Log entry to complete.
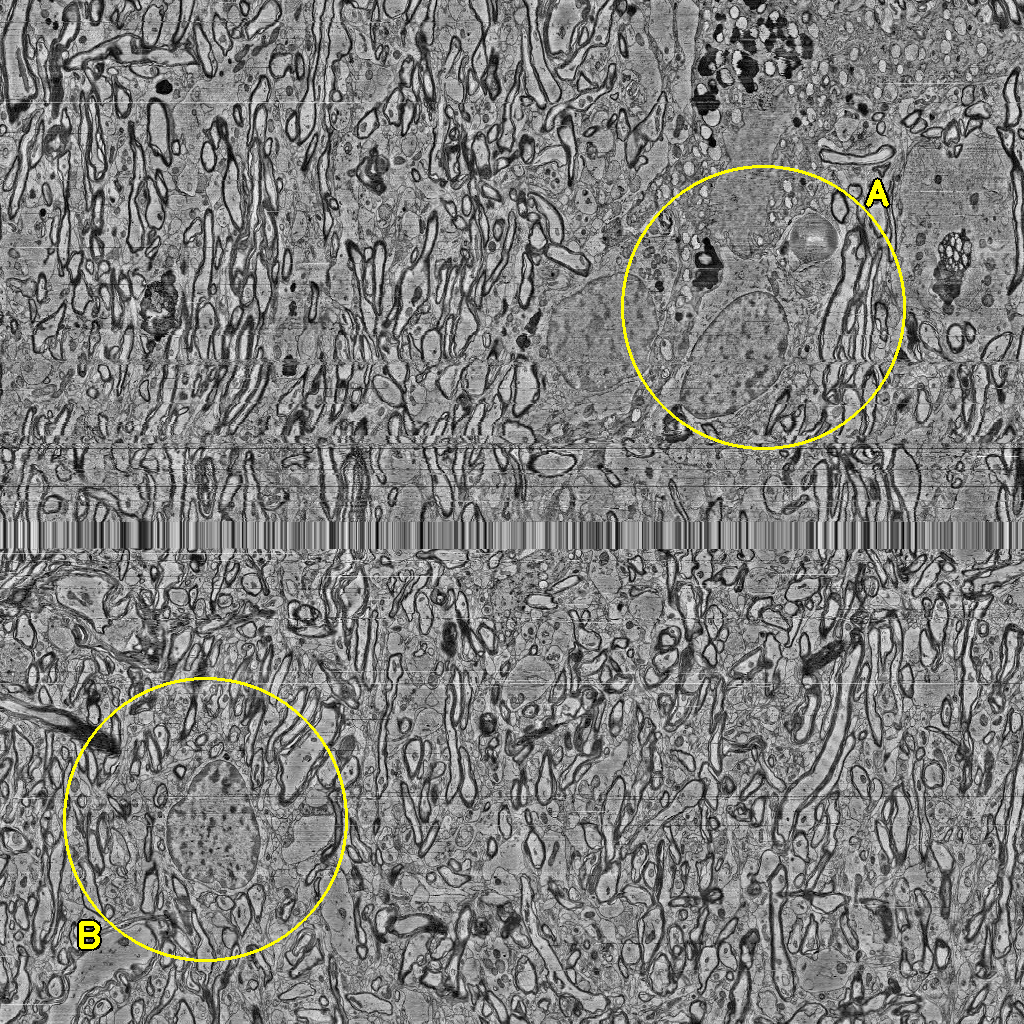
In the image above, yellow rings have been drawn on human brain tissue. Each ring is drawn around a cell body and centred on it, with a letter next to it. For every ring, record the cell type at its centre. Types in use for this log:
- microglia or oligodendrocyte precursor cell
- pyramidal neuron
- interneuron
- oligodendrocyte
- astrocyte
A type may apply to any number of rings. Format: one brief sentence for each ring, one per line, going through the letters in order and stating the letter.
In ring A, the centred cell is a microglial cell or oligodendrocyte precursor cell.
In ring B, the centred cell is a microglial cell or oligodendrocyte precursor cell.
